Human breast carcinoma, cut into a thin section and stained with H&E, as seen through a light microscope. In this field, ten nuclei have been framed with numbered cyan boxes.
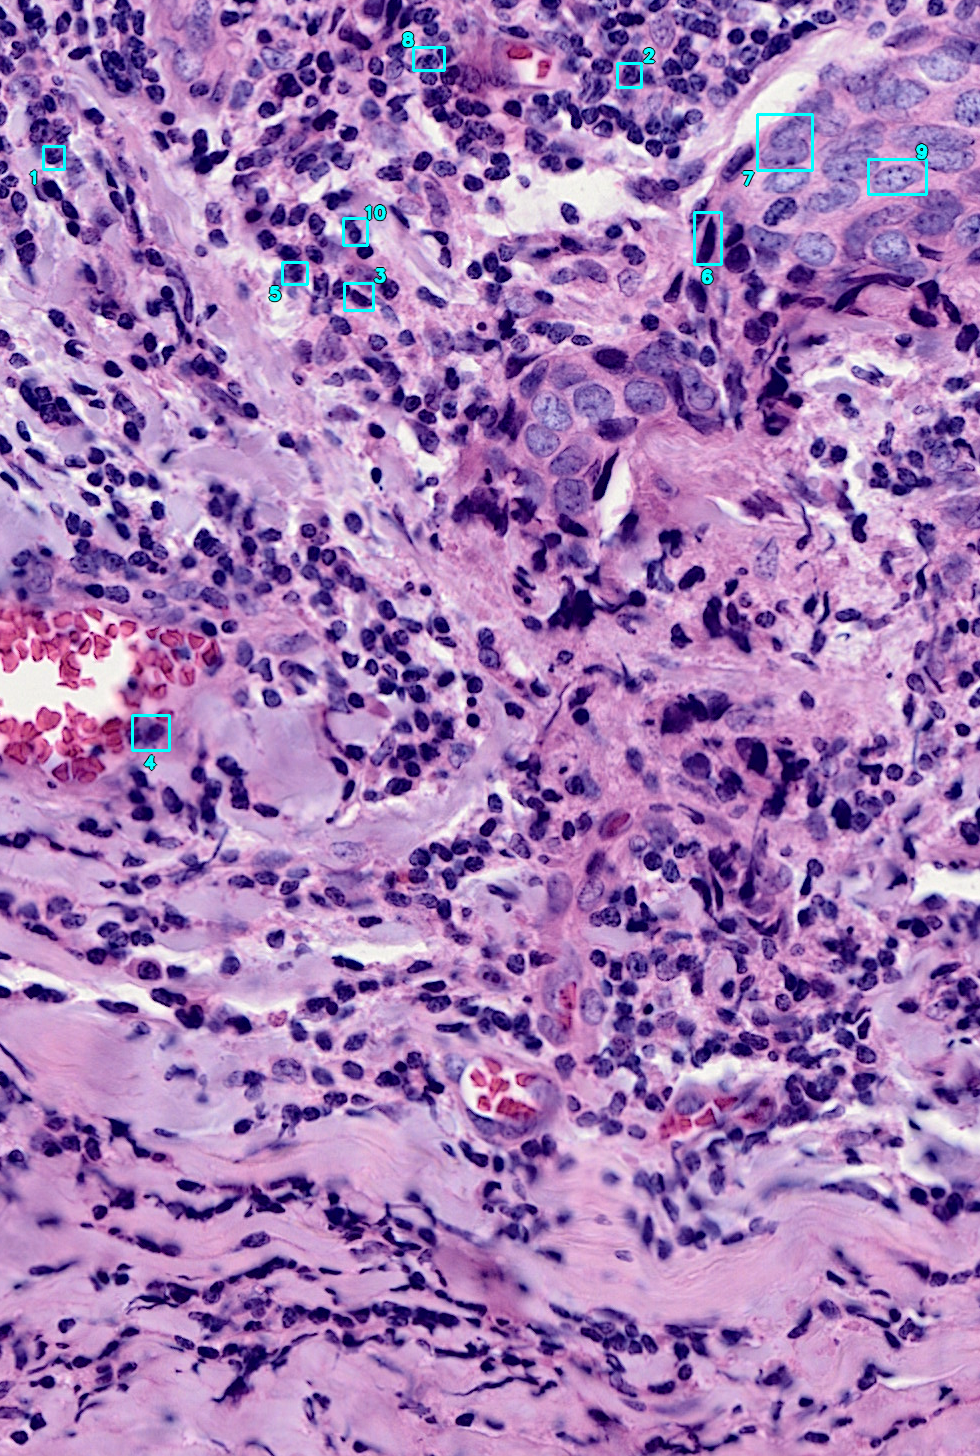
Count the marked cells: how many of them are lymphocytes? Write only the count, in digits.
6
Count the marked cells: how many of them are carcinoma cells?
3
